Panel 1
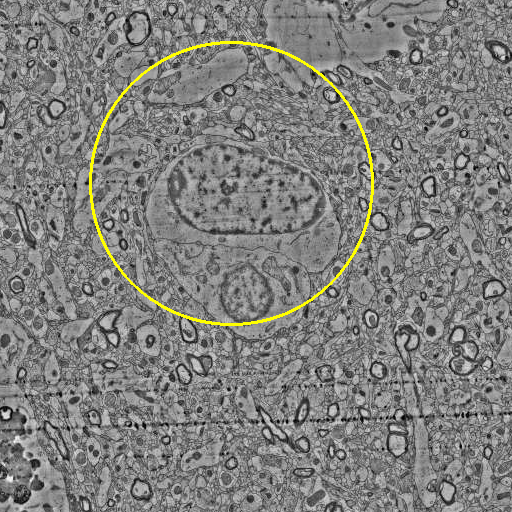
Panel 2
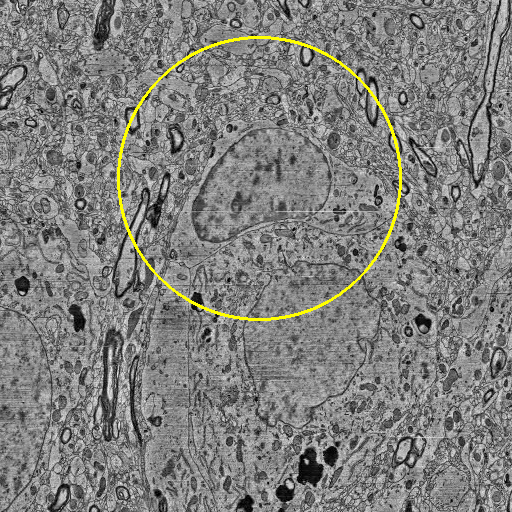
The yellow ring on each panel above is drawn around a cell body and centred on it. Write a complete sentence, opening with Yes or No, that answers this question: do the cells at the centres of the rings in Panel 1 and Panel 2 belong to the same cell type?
Yes, both cells belong to the same cell type.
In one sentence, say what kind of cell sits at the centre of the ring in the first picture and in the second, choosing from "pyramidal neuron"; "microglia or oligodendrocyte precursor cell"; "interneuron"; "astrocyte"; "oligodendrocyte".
Each of the ringed cells, first and second, is a microglial cell or oligodendrocyte precursor cell.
